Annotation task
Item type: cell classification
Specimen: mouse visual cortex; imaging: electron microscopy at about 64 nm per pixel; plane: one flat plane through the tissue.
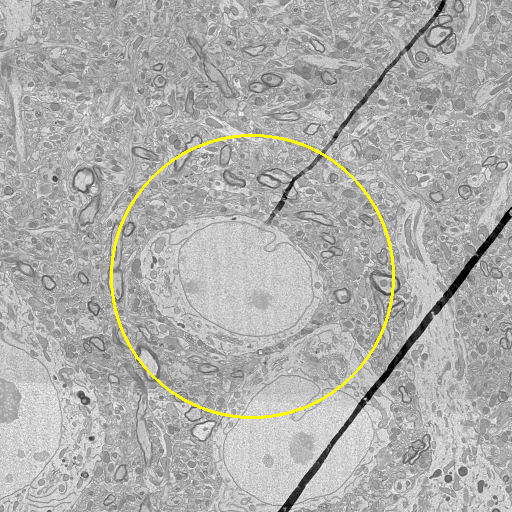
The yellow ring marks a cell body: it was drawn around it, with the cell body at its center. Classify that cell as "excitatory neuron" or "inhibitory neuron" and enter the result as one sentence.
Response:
The ring's center falls on an excitatory neuron.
